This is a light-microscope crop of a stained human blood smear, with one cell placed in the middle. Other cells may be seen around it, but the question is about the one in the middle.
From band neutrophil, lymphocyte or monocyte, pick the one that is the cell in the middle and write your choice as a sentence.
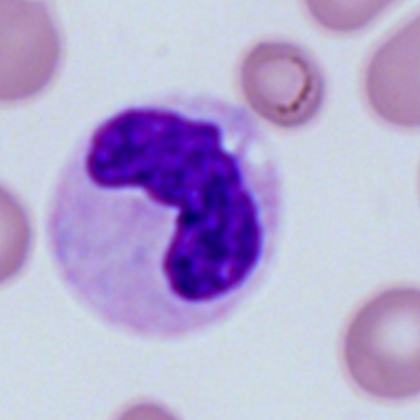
The single cell at the center of the crop is a band neutrophil.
